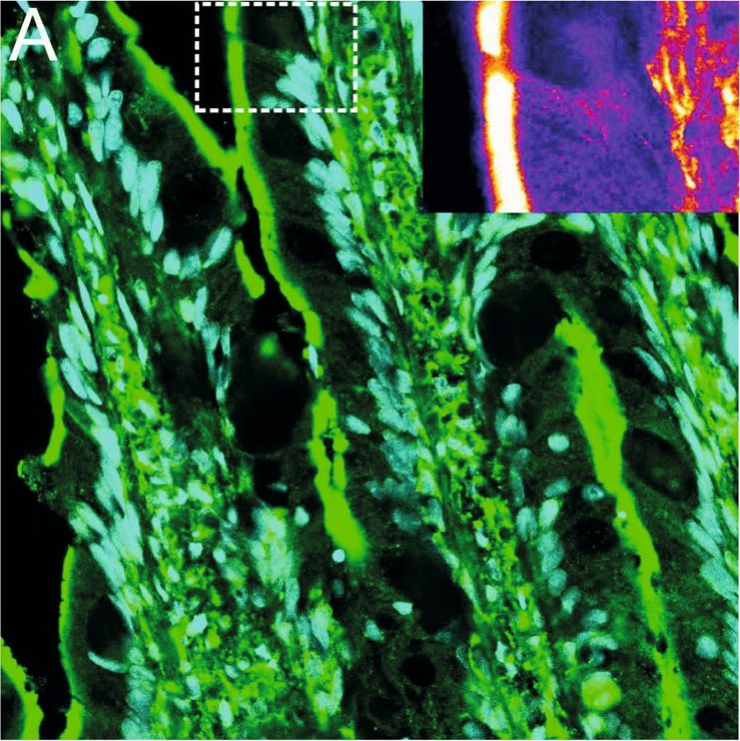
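This section of intestinal mucosa shows folds lined by a columnar epithelium of enterocytes, with goblet cells among them. The epithelial nuclei are elongated and crowded in rows, appearing pale cyan-white. Along the luminal free surface of the epithelium runs a thick, very bright green band. Rounded dark oval spaces within the epithelium correspond to goblet cell bodies. The cores of the folds between epithelial layers contain densely packed nuclei and speckled green material.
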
